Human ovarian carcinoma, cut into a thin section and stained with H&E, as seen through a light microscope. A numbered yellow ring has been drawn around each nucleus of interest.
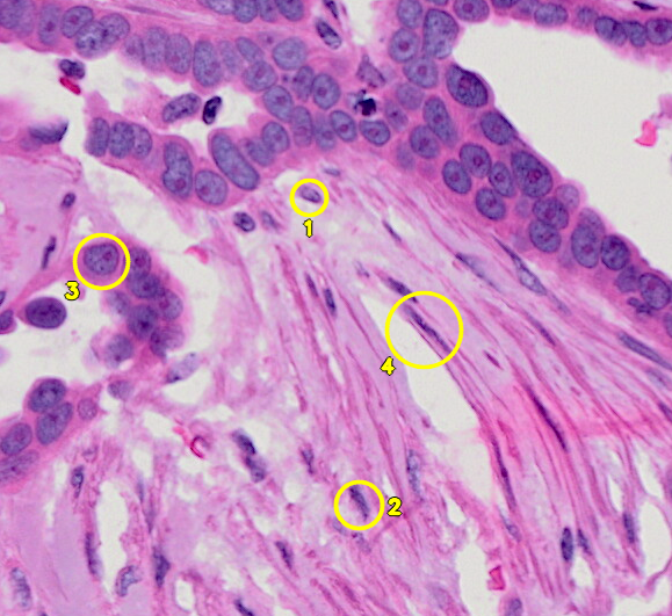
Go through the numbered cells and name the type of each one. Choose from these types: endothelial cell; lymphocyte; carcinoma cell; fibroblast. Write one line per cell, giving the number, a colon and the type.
1: fibroblast
2: fibroblast
3: carcinoma cell
4: fibroblast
